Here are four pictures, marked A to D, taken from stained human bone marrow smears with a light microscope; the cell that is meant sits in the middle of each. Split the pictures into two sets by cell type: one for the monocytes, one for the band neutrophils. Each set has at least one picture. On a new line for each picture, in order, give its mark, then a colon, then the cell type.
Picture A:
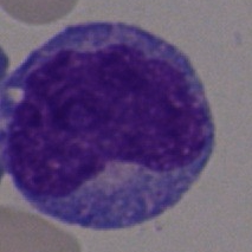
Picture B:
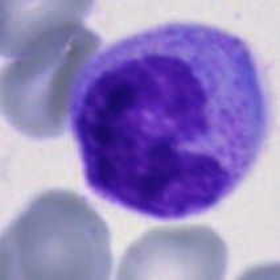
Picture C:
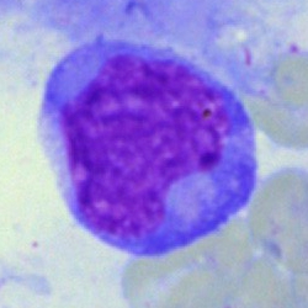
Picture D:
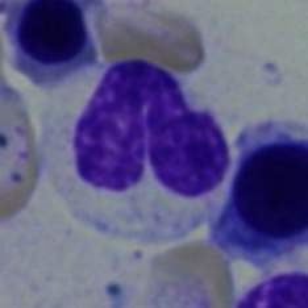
A: monocyte
B: monocyte
C: monocyte
D: band neutrophil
